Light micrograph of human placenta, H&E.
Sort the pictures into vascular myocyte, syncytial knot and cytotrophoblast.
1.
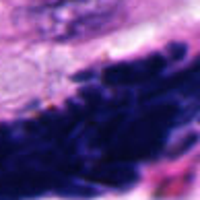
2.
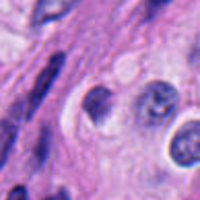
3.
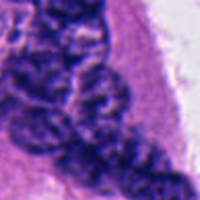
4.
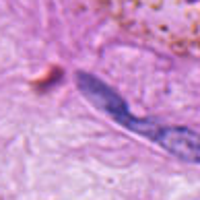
Syncytial knots: 1, 3
Cytotrophoblasts: 2
Vascular myocytes: 4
